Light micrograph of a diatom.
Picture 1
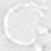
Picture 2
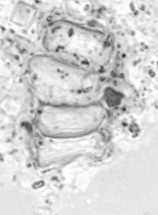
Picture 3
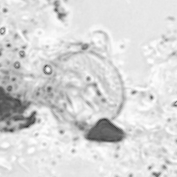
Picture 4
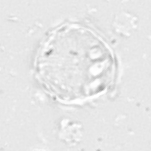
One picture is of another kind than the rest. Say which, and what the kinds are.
Picture 1 shows Thalassiosira; the rest show Stephanodiscus.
